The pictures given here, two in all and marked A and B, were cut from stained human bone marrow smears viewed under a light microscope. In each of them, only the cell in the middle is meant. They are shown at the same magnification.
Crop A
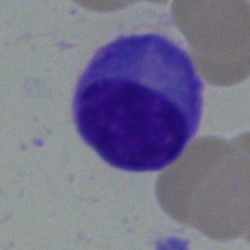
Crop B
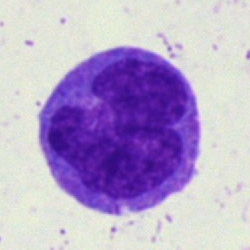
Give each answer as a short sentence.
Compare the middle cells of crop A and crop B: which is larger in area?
The cell in crop B is larger, with about 1.5 times the area of the one in crop A.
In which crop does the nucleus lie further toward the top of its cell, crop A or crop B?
The nucleus in crop B lies further toward the top of its cell.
